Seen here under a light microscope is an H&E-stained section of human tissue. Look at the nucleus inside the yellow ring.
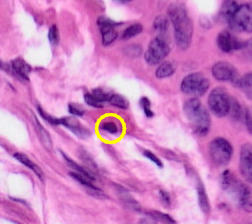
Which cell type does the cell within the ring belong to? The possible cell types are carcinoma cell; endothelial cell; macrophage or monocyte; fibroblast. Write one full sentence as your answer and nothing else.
The cell type represented by the cell within the ring is that of an endothelial cell.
